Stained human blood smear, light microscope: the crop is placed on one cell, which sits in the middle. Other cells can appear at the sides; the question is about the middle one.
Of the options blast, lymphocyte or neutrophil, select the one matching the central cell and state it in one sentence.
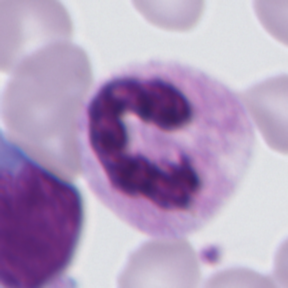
The cell under consideration, at the middle of the crop, is a neutrophil.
